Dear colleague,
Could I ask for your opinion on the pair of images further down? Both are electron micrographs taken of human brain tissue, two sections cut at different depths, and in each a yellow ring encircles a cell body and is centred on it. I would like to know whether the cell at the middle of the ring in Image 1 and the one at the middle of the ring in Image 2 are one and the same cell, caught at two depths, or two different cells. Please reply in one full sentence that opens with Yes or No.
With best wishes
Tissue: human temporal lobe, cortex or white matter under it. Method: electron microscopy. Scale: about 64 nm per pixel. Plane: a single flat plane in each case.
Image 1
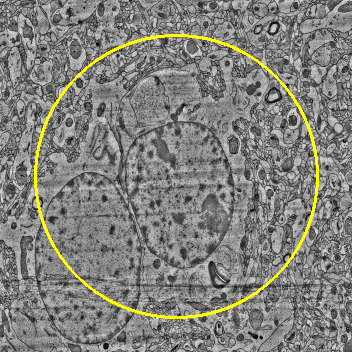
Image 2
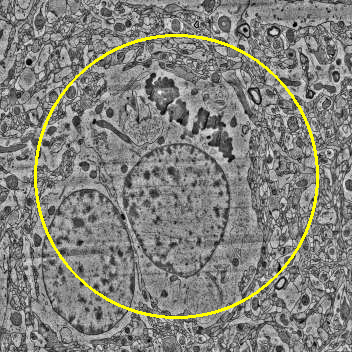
Yes, the rings do not mark different cells but one cell.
